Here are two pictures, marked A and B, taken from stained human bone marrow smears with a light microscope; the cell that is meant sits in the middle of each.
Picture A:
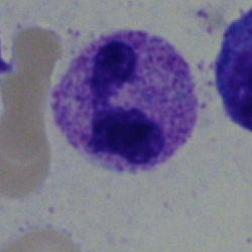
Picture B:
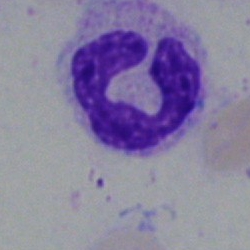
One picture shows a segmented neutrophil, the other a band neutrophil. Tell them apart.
A: segmented neutrophil
B: band neutrophil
